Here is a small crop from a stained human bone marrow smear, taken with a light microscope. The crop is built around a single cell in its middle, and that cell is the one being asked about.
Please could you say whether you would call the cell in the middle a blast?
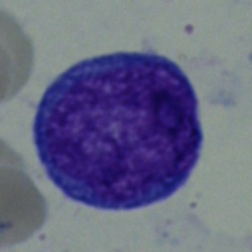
yes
